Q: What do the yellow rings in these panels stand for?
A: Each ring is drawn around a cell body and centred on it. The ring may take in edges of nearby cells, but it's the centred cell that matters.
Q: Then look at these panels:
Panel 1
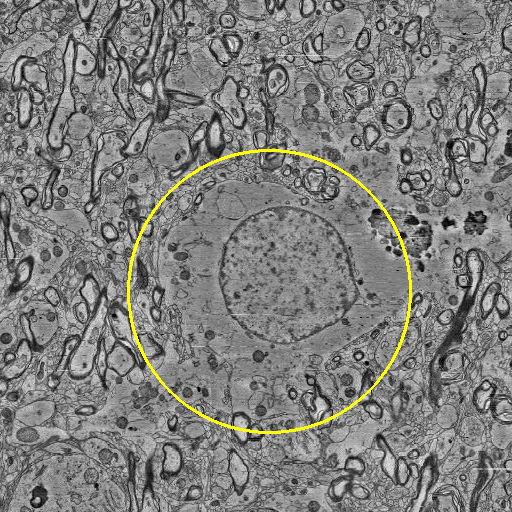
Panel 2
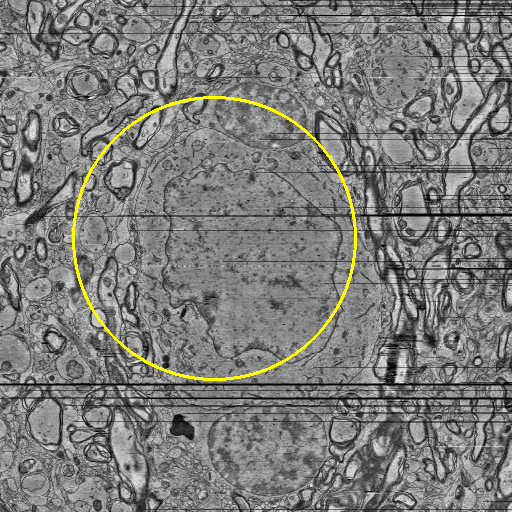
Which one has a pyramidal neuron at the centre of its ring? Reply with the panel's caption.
Panel 2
